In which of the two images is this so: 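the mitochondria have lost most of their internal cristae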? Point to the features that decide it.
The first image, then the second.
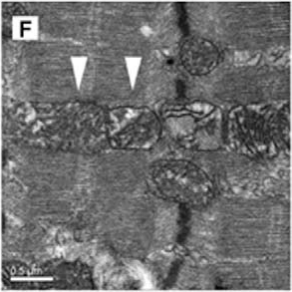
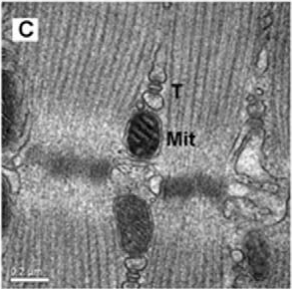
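First image: mitochondria between myofibrils are pale with sparse, broken cristae. Second image: the mitochondrion is dark and densely filled with regular cristae.
The first image.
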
